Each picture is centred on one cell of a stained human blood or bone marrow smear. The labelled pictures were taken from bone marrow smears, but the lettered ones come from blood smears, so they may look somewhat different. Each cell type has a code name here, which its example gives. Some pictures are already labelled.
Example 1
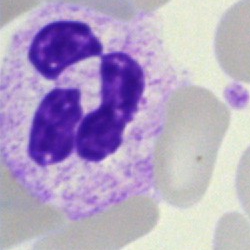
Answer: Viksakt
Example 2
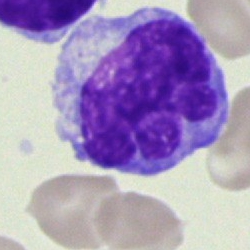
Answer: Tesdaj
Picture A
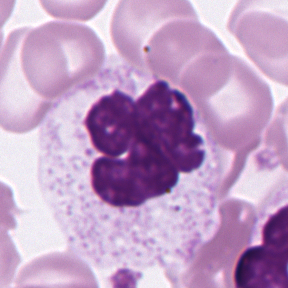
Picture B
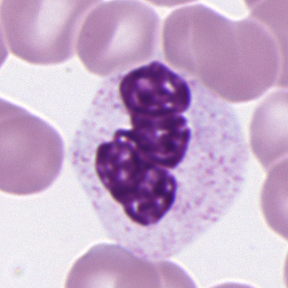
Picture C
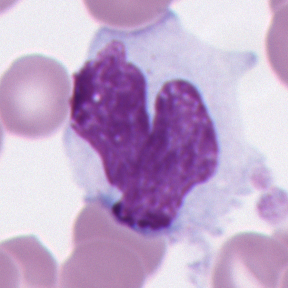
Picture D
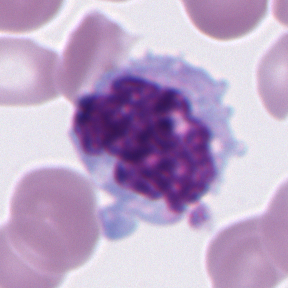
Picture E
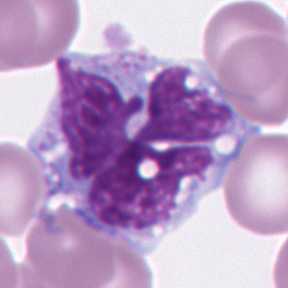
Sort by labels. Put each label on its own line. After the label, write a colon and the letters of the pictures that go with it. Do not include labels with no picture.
Viksakt: A, B
Tesdaj: C, D, E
